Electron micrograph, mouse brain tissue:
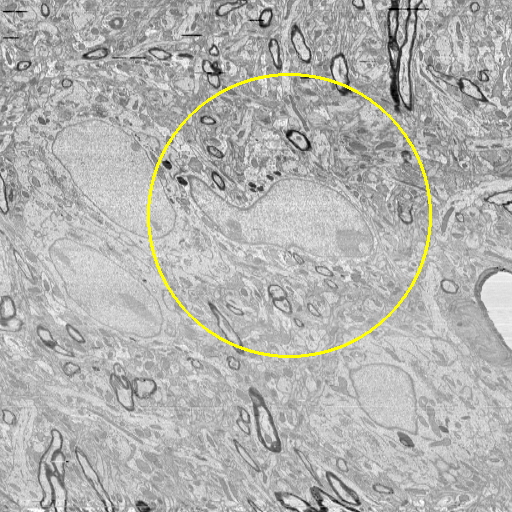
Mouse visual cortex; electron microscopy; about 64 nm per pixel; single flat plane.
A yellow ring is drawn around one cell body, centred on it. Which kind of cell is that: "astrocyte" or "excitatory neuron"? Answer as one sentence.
It is an astrocyte at the centre of the ring.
